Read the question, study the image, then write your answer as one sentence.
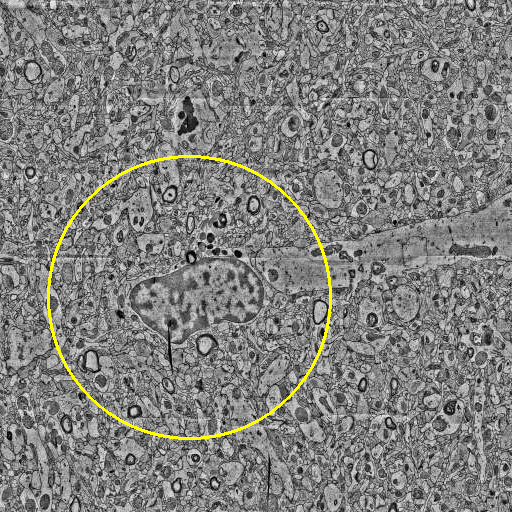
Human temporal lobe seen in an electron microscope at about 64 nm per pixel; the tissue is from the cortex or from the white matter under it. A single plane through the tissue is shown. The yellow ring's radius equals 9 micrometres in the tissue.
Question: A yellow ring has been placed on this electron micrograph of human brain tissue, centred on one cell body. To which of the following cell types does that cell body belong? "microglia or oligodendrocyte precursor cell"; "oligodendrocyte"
That cell body belongs to a microglial cell or oligodendrocyte precursor cell.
